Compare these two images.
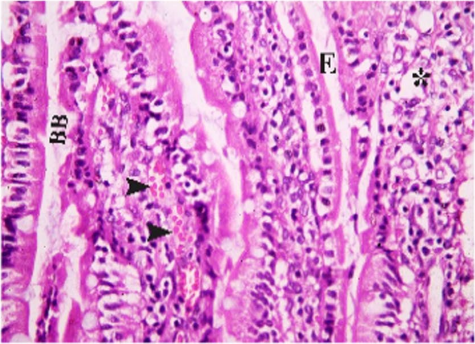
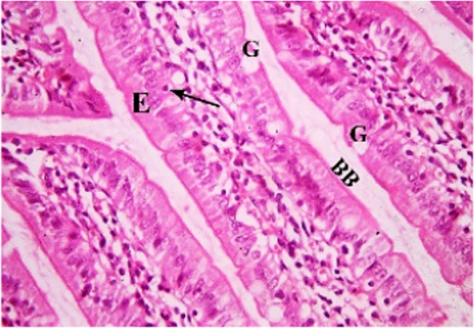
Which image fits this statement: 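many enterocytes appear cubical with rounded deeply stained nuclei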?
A: The first image.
